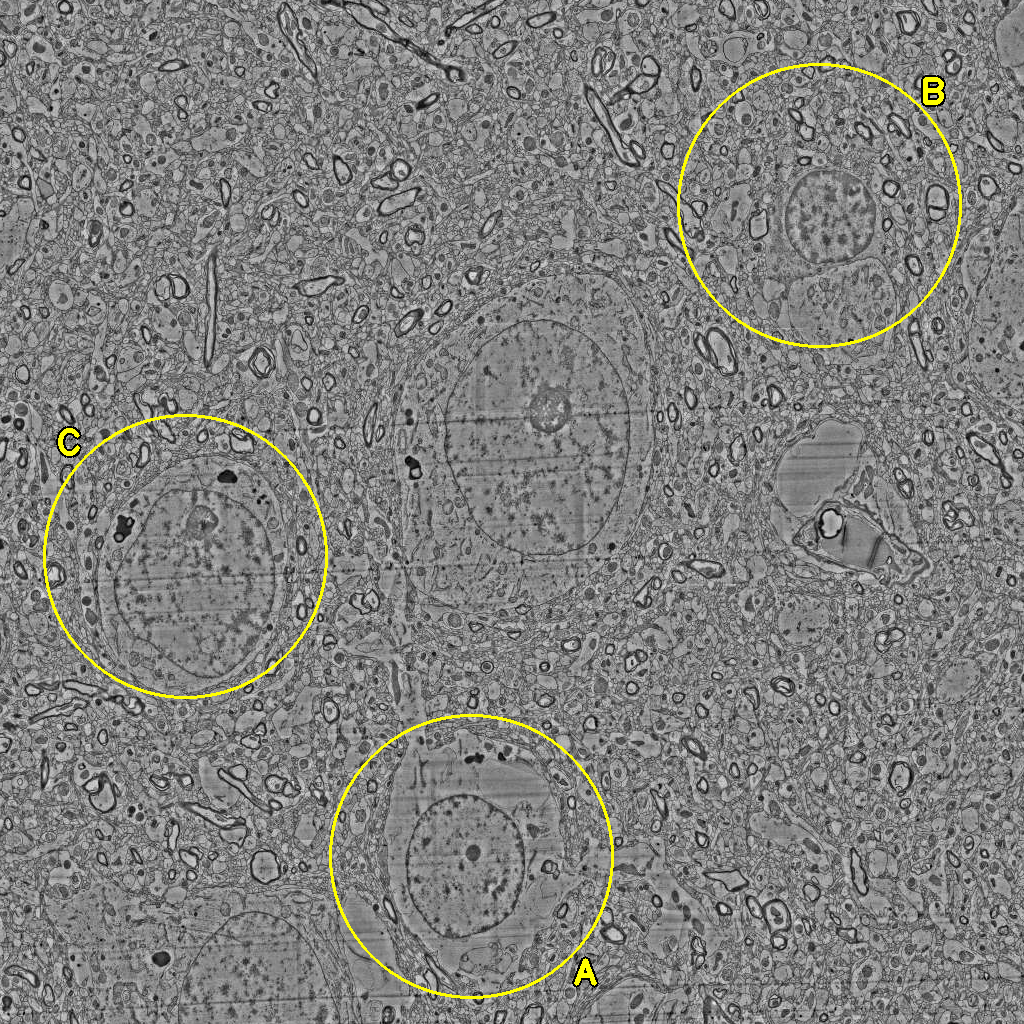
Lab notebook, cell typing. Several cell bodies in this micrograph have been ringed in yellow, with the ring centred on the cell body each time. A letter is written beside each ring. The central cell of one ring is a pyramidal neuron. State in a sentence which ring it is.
It is ring C.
